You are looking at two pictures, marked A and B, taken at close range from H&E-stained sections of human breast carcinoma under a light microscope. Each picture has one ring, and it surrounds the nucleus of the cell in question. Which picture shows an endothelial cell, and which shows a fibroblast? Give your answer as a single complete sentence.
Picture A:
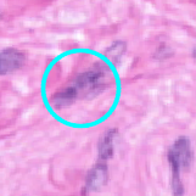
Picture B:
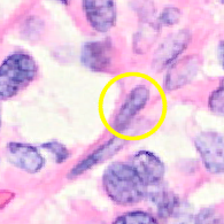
In picture A the cell is a fibroblast; in picture B, an endothelial cell.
